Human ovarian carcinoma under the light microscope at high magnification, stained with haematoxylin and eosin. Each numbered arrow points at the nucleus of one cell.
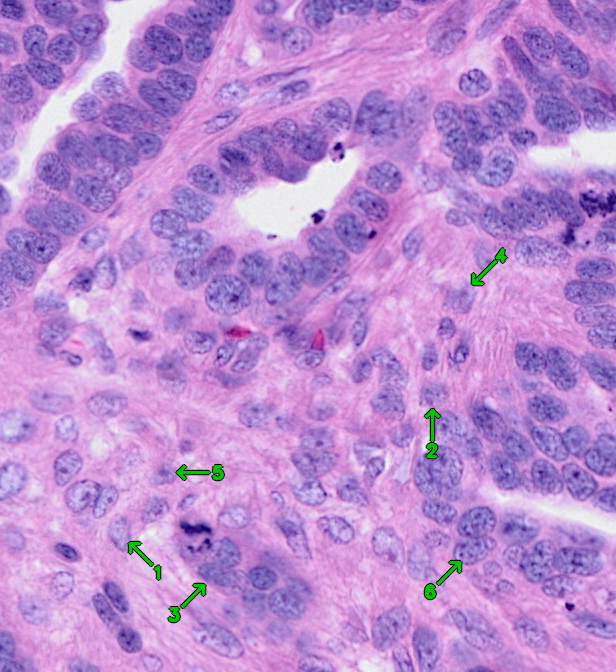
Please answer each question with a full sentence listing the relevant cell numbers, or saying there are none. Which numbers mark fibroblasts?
The cells identified by the numbers 1, 2, 4 and 5 are fibroblasts.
